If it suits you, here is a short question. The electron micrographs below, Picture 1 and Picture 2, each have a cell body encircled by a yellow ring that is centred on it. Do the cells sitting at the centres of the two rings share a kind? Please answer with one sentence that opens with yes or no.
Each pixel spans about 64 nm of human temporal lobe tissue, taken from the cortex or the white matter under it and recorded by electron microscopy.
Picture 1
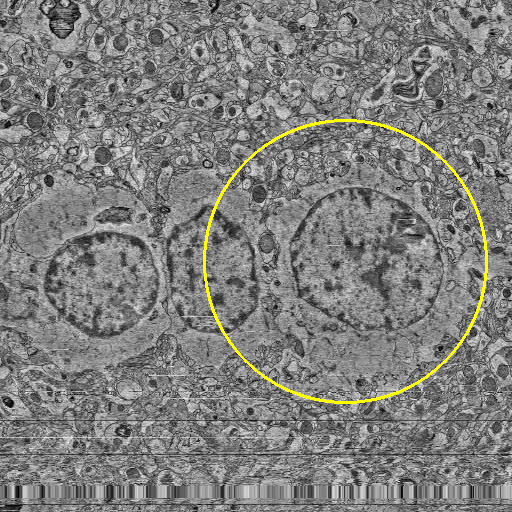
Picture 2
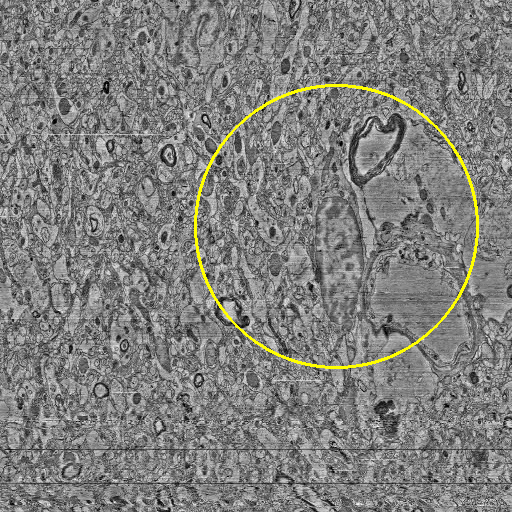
No, the two cells sitting at the ring centres fall into two kinds.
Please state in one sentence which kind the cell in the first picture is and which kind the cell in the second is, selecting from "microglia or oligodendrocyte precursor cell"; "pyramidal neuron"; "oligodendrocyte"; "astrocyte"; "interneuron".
The first ringed cell is an astrocyte, the second ringed cell an oligodendrocyte.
